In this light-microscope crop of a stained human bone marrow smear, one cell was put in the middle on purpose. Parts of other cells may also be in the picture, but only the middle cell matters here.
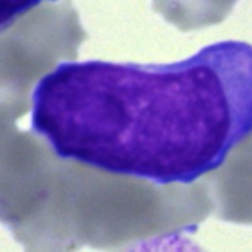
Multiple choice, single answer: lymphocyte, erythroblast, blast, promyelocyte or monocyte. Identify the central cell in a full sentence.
The central cell in this smear crop is a blast.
